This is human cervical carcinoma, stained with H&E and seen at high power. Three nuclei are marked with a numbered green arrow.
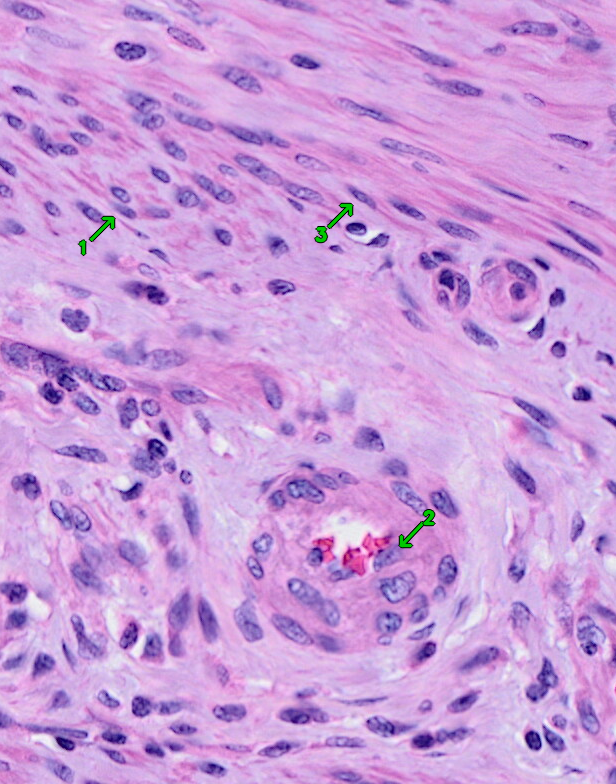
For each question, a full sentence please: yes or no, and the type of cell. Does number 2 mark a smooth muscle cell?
No, cell 2 is not a smooth muscle cell, but is instead an endothelial cell.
